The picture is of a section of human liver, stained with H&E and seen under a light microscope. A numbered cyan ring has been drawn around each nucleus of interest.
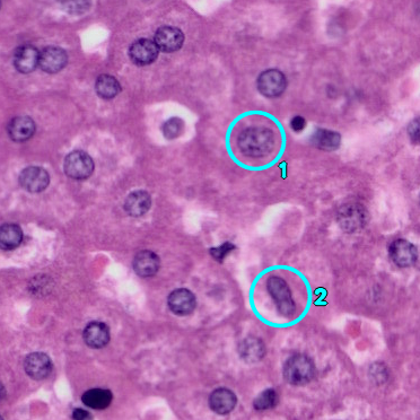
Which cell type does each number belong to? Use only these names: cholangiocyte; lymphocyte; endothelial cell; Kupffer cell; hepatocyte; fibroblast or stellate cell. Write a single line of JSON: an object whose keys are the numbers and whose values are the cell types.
{"1": "hepatocyte", "2": "Kupffer cell"}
